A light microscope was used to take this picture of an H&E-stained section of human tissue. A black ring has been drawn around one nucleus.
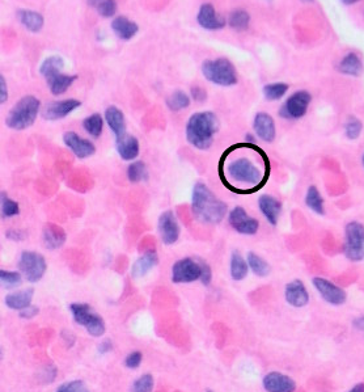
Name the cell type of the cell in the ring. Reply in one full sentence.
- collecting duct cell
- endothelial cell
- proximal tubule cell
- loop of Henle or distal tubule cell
The expected answer is simply that the cell in the ring is an endothelial cell.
